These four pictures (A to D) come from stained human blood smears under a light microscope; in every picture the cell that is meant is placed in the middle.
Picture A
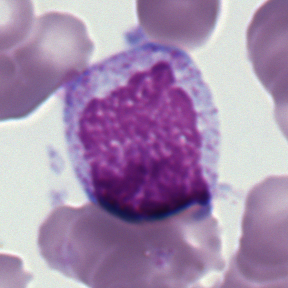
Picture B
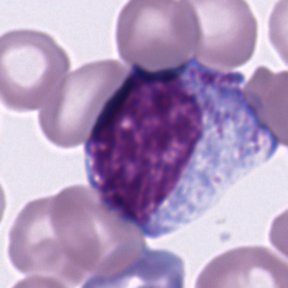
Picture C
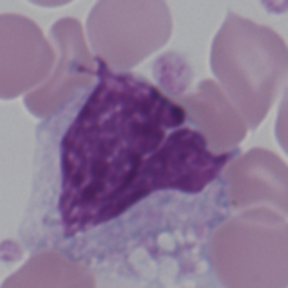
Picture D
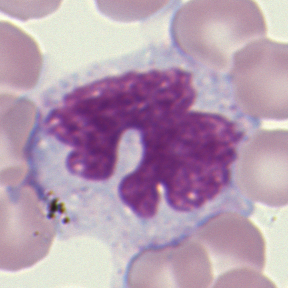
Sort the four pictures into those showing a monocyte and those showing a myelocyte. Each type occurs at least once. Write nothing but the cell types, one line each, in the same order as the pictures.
myelocyte
myelocyte
monocyte
monocyte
